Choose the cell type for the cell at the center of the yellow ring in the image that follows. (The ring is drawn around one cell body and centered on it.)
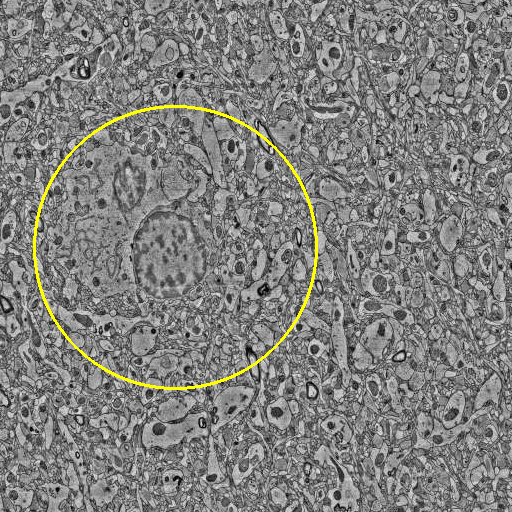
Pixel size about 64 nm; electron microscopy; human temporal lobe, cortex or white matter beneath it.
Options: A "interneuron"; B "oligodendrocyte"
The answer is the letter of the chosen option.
B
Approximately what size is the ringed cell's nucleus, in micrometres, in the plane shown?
The ringed cell's nucleus is about 5 micrometres across in this plane.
